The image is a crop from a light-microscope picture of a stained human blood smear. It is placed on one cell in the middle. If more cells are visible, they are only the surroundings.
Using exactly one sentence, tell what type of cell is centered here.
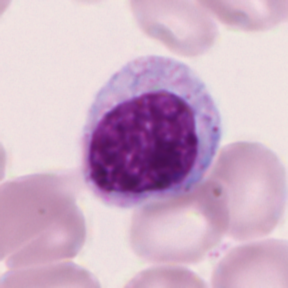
In this crop, the cell at the very middle is a metamyelocyte.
